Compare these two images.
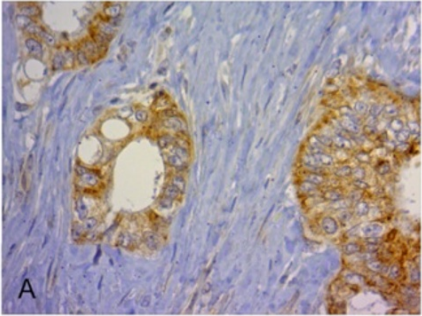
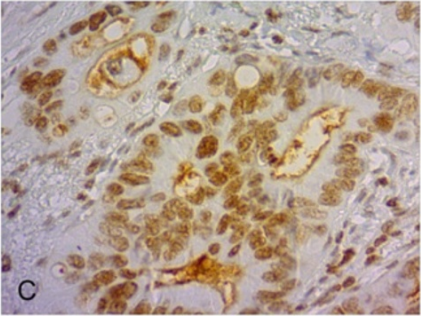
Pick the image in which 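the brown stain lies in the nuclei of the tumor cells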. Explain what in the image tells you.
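The second image. Second image: the oval nuclei of the tumor cells are stained dark brown. First image: the nuclei are blue and the brown lies in the cytoplasm and at the cell borders.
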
